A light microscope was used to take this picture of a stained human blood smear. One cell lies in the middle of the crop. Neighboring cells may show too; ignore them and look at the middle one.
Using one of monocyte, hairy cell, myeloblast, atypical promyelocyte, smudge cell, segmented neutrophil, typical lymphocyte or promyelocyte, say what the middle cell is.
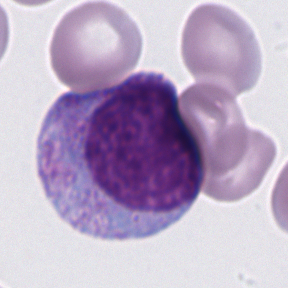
promyelocyte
